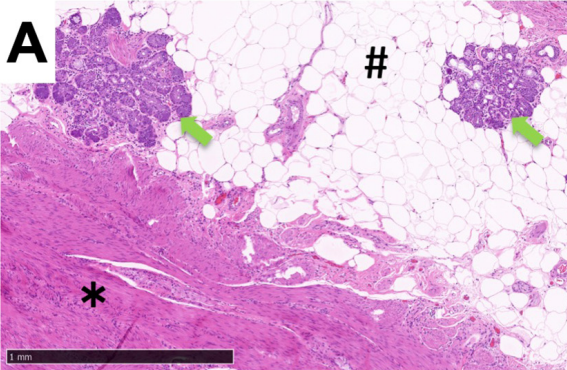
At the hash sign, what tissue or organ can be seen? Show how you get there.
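Fat tissue. The hash sign lies in a field of large empty polygonal cells with thin walls.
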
